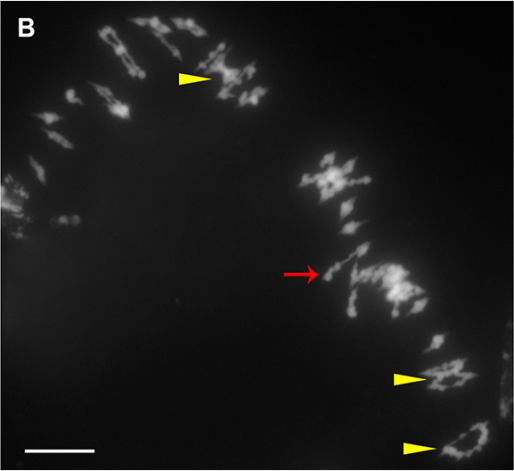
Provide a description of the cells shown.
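Many are paired bivalents, appearing as small rods and crosses. Several larger associations stand out as rings or chains formed by more than two chromosomes linked together; two of these near the lower right form open rings. Further groups lie at the upper left.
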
